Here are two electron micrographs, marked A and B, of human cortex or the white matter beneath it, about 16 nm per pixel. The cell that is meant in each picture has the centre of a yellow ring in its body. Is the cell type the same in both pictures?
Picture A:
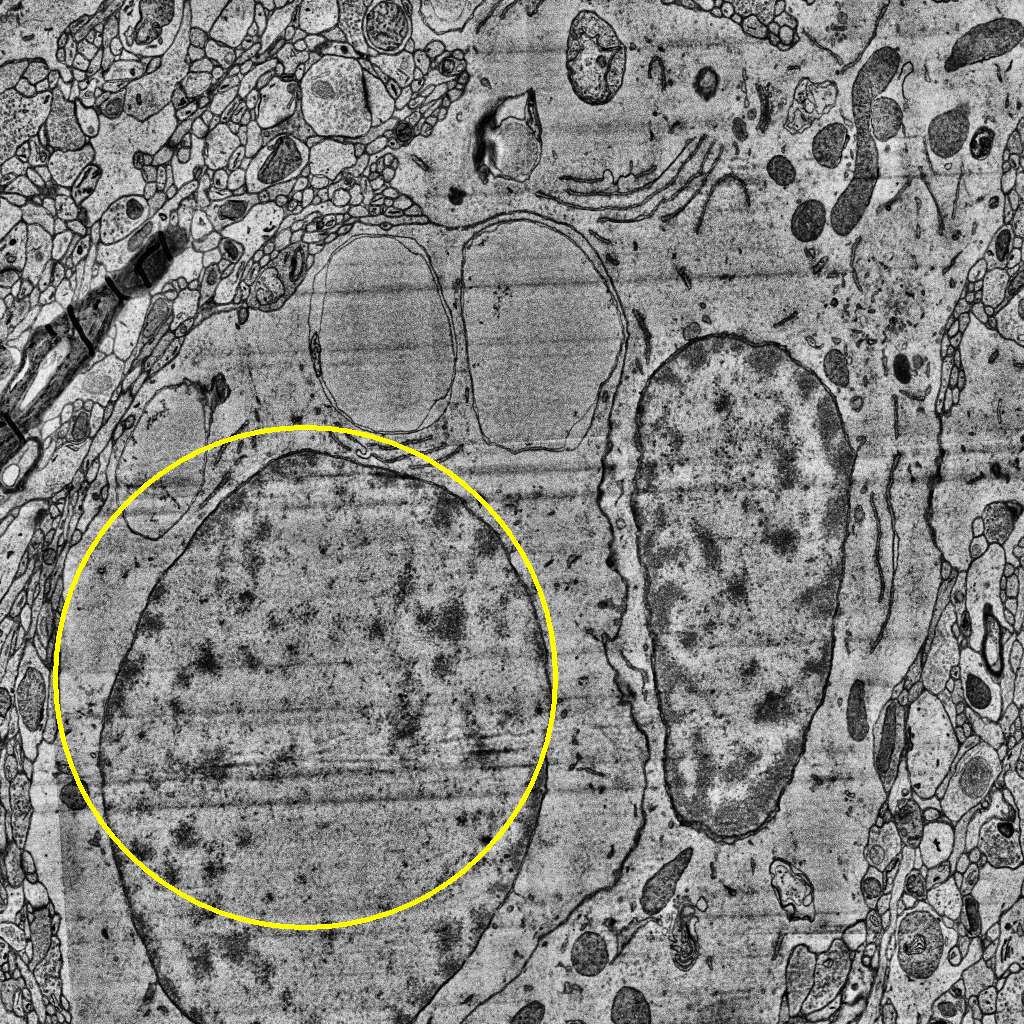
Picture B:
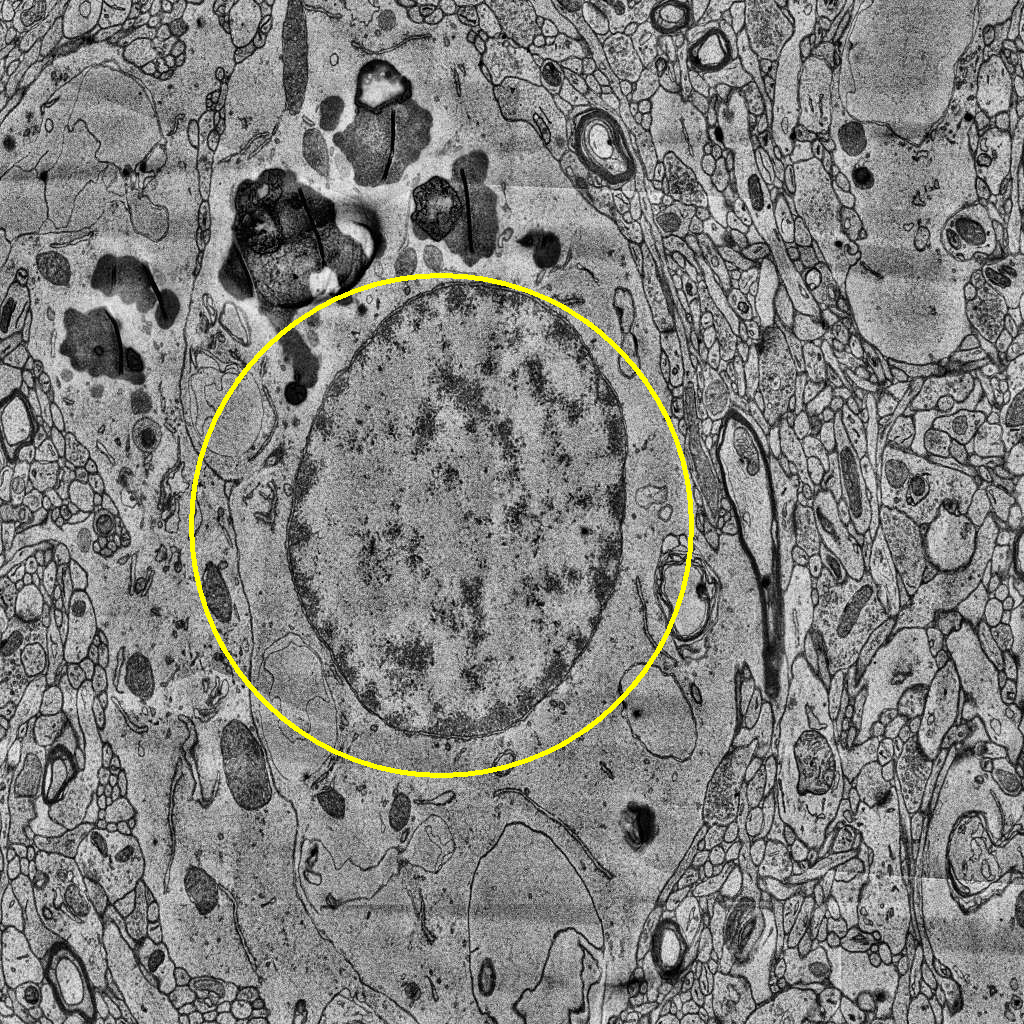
Yes, both cells are astrocytes.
